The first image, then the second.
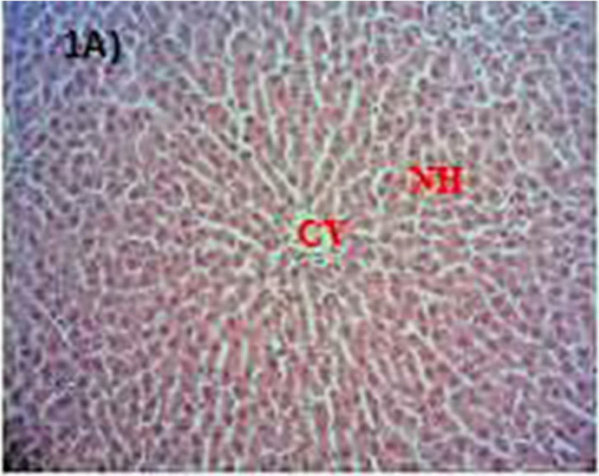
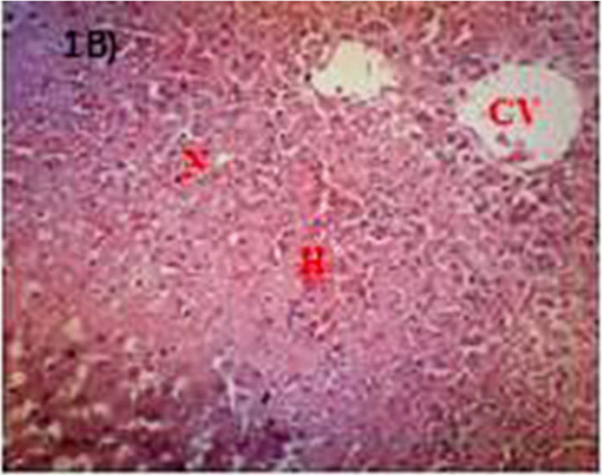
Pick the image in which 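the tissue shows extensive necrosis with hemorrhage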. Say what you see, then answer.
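Second image: the regular radiating cords are lost over large areas, with a patch of red blood cells spilled into the tissue. First image: orderly cords of cells radiate evenly from the central vessel.
Answer: the second image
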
